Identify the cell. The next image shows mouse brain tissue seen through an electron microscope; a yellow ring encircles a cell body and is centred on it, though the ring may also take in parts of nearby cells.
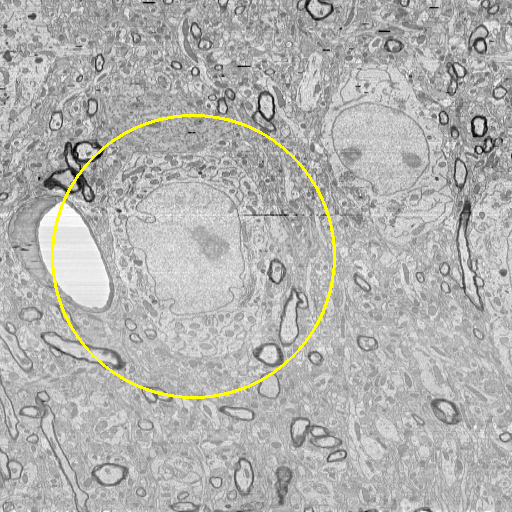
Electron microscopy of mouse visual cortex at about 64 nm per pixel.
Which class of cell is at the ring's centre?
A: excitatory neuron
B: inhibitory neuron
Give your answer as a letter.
B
